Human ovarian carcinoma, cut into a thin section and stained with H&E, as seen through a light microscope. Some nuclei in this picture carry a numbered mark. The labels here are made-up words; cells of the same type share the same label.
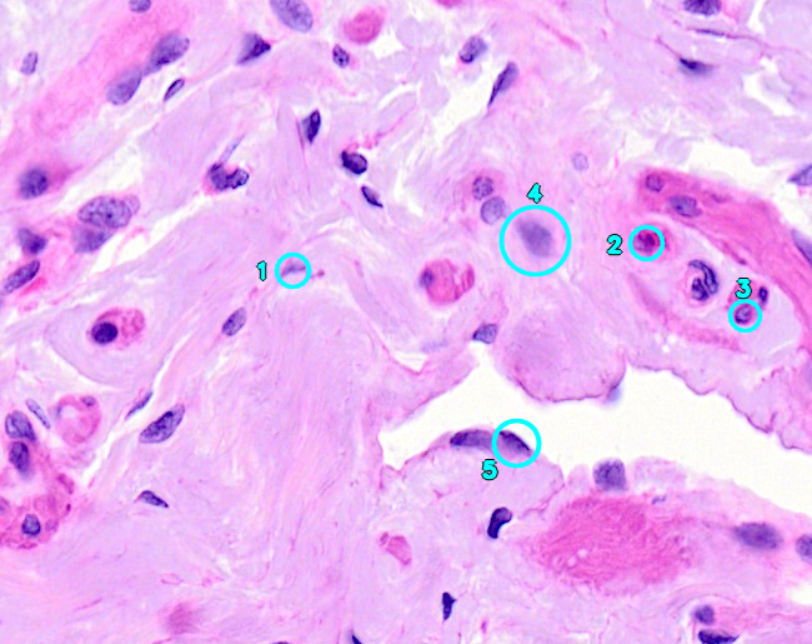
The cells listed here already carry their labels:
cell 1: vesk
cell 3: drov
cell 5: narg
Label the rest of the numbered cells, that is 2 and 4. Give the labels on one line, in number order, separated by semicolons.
narg; vesk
